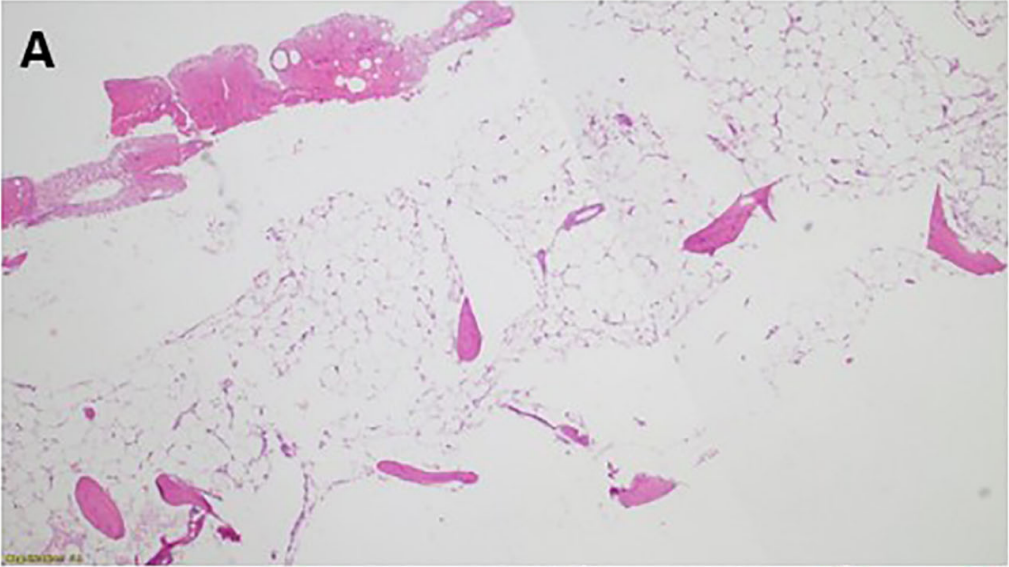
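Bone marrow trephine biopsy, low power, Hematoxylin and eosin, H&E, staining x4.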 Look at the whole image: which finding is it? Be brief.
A: markedly hypocellular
